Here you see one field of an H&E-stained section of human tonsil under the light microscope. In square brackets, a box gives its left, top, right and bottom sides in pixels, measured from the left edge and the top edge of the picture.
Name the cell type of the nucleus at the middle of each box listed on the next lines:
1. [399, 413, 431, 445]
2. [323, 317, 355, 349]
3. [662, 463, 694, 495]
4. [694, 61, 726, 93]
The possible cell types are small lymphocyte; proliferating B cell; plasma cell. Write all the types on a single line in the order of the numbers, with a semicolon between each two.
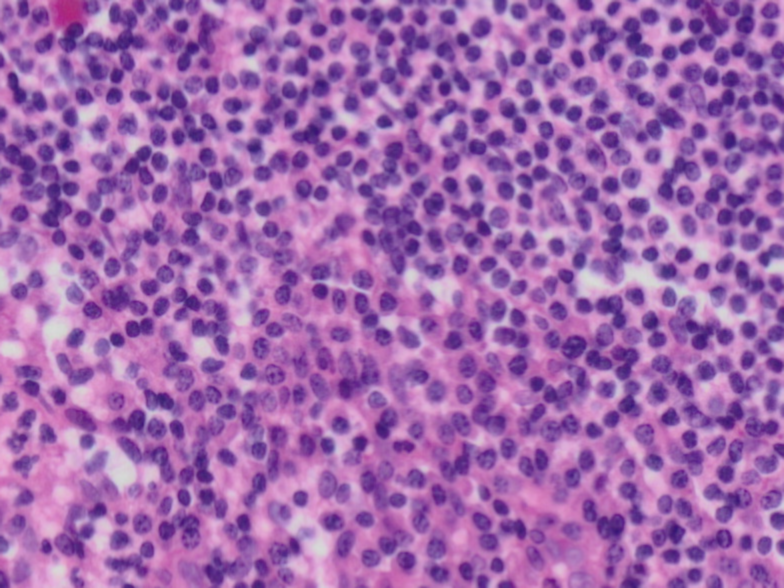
plasma cell; plasma cell; plasma cell; small lymphocyte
